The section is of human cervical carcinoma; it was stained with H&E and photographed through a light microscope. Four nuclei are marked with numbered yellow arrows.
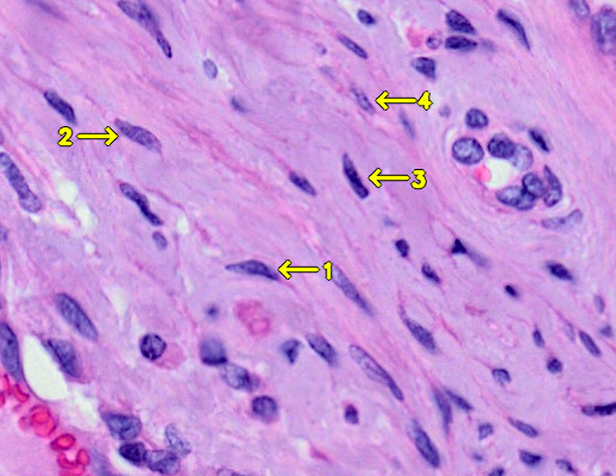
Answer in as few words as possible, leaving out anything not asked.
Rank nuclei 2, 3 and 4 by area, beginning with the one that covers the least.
4, 3, 2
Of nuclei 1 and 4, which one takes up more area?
1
